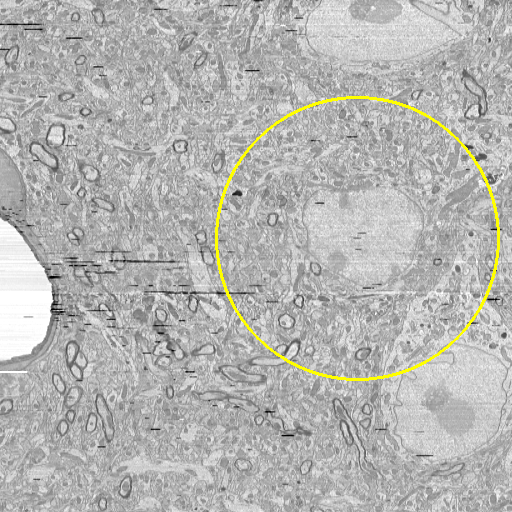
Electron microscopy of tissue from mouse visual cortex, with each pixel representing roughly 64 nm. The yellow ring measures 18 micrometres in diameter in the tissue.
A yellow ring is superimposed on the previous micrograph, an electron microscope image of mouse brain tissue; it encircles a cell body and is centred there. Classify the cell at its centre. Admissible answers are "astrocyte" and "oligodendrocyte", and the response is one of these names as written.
astrocyte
